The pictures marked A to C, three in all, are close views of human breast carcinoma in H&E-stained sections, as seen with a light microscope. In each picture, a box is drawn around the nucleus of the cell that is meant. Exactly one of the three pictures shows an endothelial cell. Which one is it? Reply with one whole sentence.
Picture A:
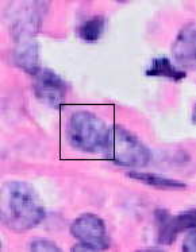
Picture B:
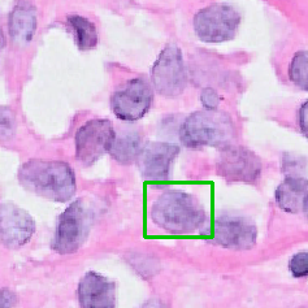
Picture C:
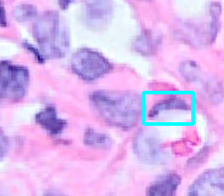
Picture C is the one that shows the endothelial cell.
